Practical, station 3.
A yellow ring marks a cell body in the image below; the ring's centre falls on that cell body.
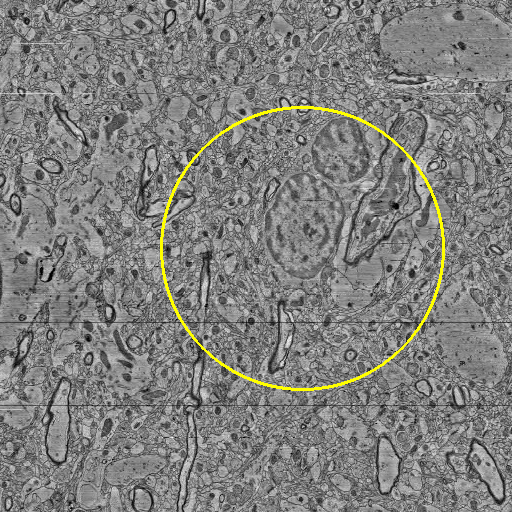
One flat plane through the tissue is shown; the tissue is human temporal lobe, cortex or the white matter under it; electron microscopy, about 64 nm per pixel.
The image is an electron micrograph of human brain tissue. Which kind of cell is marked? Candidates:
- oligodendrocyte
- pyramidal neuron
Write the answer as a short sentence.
The marked cell body is that of an oligodendrocyte.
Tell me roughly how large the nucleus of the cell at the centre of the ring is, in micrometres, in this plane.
The ringed cell's nucleus is about 7 micrometres long and 5 micrometres wide in this plane.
